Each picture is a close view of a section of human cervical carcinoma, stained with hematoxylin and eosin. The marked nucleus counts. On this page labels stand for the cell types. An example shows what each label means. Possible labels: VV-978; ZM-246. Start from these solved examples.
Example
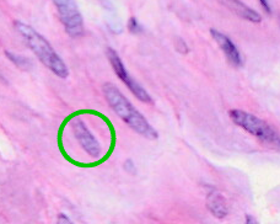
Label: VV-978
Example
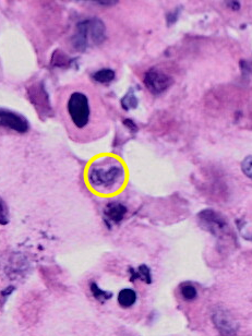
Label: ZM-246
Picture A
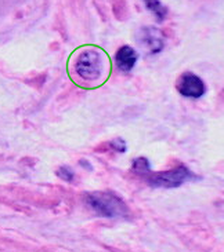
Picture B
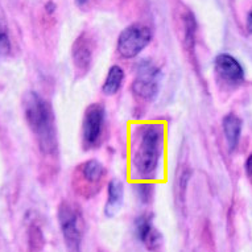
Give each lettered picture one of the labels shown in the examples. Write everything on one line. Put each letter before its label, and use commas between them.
A ZM-246, B ZM-246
